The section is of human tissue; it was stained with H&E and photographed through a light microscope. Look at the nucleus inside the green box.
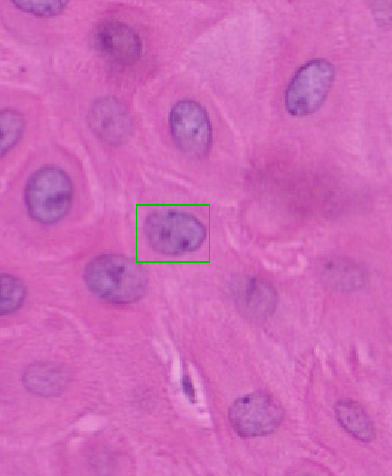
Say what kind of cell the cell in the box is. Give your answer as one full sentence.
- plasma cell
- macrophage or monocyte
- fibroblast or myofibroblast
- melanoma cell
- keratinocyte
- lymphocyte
The category to which the cell in the box belongs is that of a keratinocyte.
